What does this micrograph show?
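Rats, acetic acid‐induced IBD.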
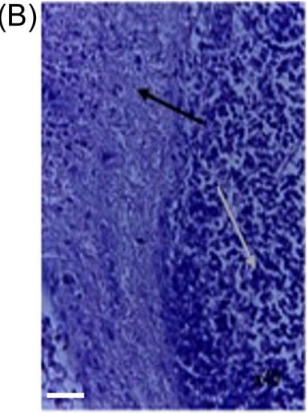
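This section of colon shows a disrupted wall in which the normal crypt architecture is no longer recognisable. The right part is filled by a dense sheet of small, round, darkly stained nuclei, representing cellular infiltration. The left part is paler and more loosely textured, with a fibrous, disorganised appearance and few nuclei. No goblet cells or glandular crypts can be made out anywhere in the field.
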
